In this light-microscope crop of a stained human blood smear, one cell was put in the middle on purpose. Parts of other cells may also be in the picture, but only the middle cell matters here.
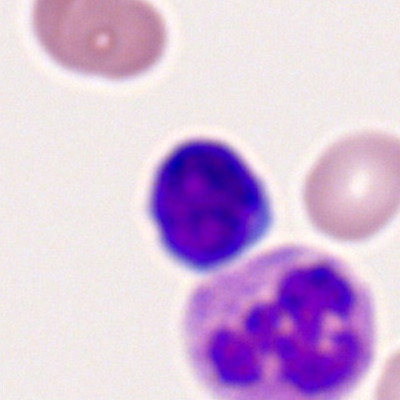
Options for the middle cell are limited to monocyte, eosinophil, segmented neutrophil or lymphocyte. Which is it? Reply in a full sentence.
In the middle of this smear crop, the cell is a lymphocyte.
